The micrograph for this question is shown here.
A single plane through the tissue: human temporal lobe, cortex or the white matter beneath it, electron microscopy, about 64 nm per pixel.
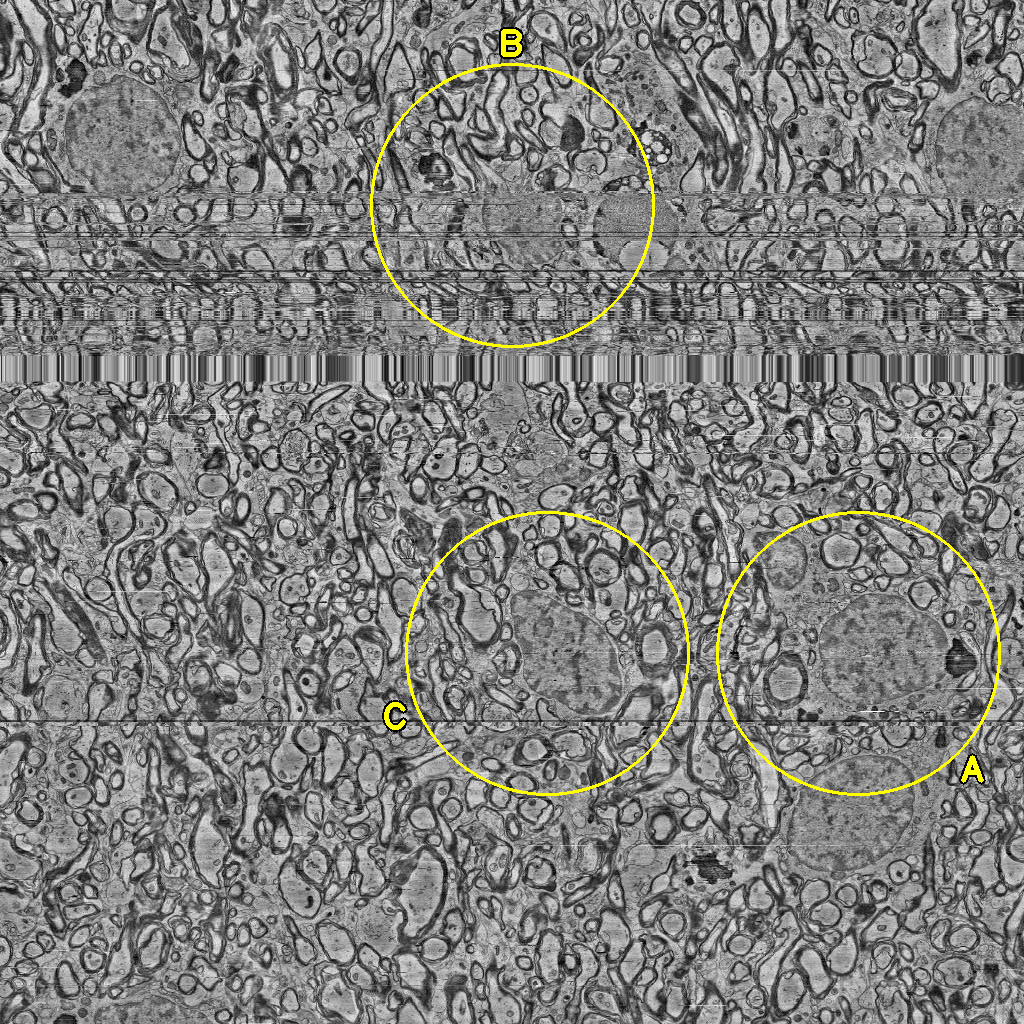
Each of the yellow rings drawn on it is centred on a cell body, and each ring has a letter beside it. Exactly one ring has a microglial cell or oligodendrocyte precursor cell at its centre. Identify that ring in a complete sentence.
The ring centred on it is ring C.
